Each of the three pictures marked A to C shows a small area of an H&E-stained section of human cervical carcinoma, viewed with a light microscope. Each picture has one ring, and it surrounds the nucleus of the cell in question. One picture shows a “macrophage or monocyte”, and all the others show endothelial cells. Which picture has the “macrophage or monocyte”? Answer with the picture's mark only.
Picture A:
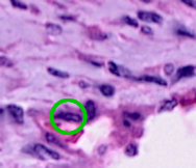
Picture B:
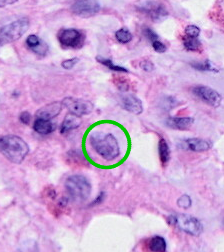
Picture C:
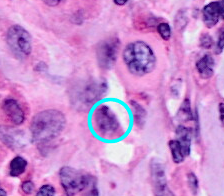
B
